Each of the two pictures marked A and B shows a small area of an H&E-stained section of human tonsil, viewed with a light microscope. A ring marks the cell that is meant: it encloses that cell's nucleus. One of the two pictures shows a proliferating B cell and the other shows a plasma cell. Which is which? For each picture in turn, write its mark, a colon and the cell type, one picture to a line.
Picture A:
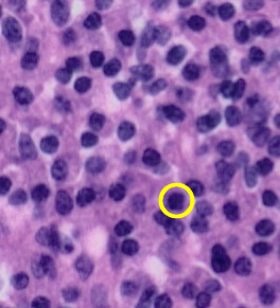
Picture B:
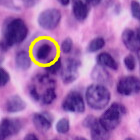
A: plasma cell
B: proliferating B cell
